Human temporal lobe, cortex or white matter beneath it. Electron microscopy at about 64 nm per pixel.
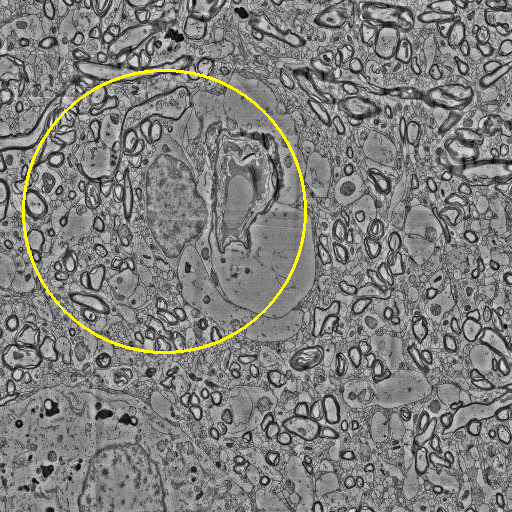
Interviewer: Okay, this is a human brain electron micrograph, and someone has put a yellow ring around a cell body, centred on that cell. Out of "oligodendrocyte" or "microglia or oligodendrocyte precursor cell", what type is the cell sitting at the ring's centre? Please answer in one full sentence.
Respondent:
The cell at the centre of the yellow ring in this picture is an oligodendrocyte.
